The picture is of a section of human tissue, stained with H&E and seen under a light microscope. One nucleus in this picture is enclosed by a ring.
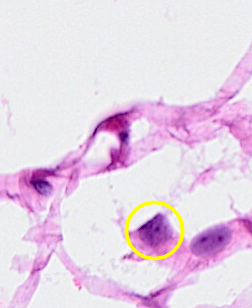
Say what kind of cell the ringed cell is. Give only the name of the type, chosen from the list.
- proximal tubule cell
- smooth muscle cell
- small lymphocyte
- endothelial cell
endothelial cell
